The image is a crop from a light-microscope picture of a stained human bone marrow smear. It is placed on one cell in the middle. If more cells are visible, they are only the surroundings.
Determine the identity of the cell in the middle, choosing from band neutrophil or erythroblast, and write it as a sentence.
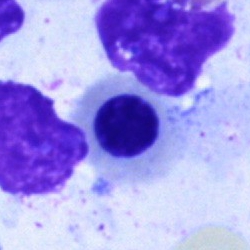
In the middle of this smear crop is an erythroblast.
